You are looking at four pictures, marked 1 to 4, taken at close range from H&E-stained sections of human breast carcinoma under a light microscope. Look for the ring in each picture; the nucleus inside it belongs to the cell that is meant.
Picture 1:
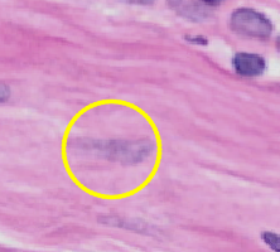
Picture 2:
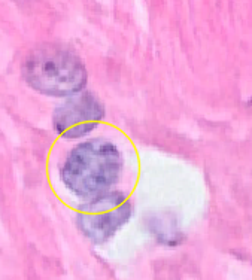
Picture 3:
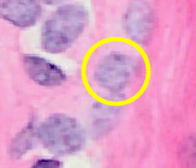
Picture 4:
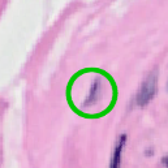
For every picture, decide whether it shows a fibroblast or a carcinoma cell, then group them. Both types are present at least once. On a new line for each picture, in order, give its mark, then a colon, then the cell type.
1: fibroblast
2: carcinoma cell
3: carcinoma cell
4: fibroblast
